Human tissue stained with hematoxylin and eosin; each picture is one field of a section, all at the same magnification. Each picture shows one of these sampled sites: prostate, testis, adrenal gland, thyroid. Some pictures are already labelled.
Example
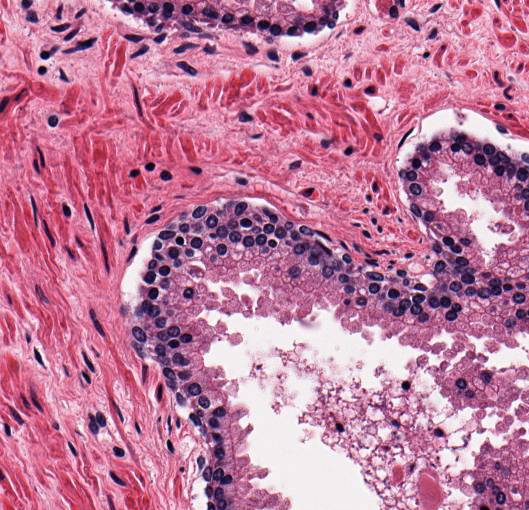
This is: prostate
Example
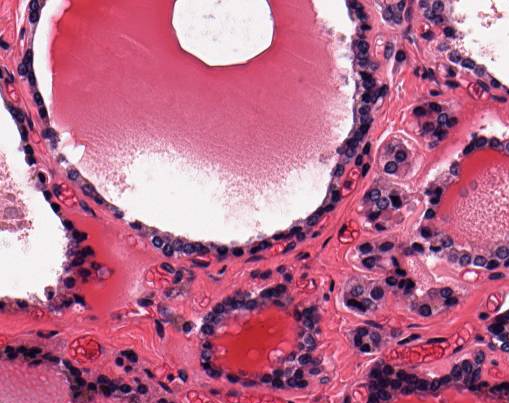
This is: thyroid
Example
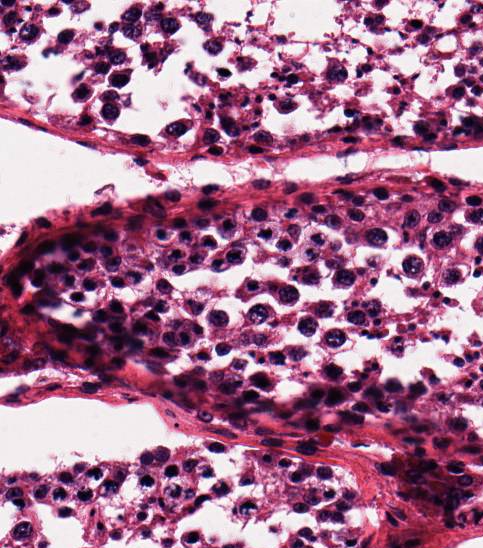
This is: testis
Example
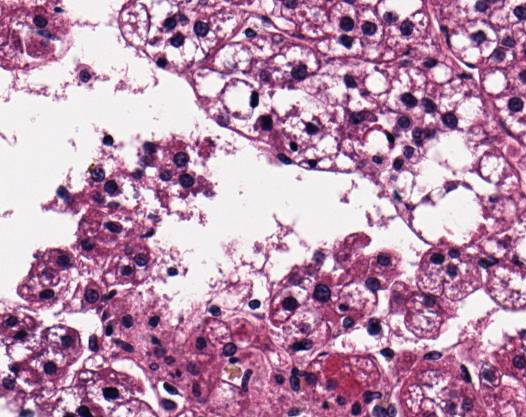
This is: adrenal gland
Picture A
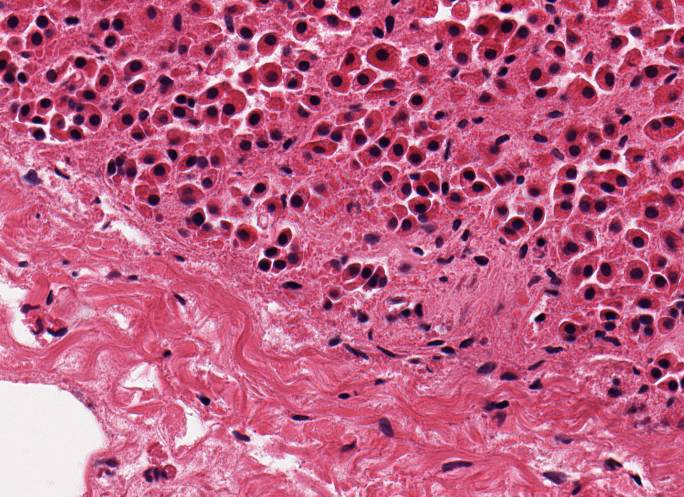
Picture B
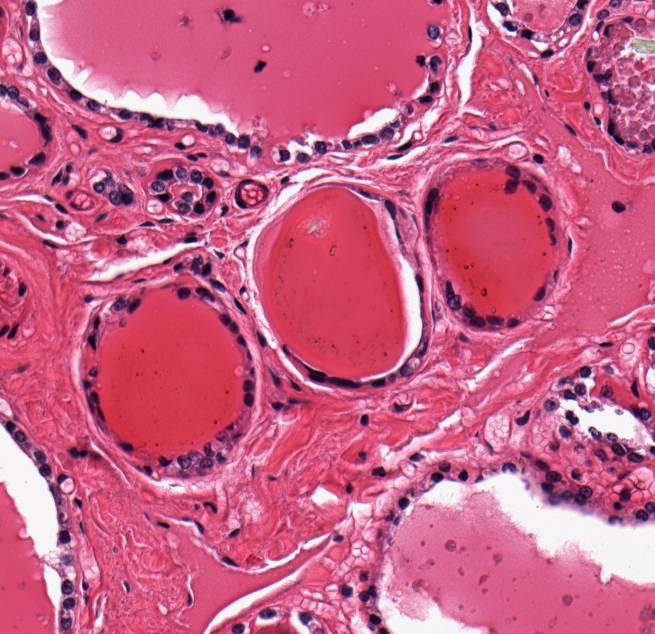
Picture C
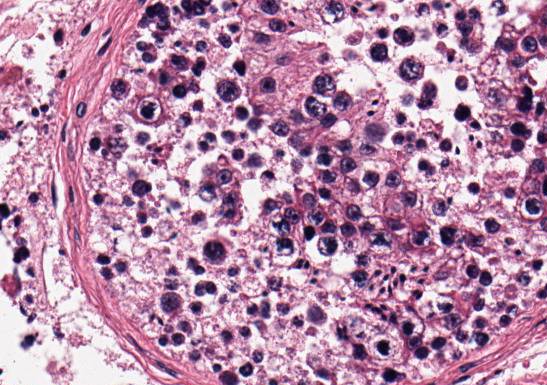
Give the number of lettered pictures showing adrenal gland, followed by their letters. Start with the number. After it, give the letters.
Count: 1 (A)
